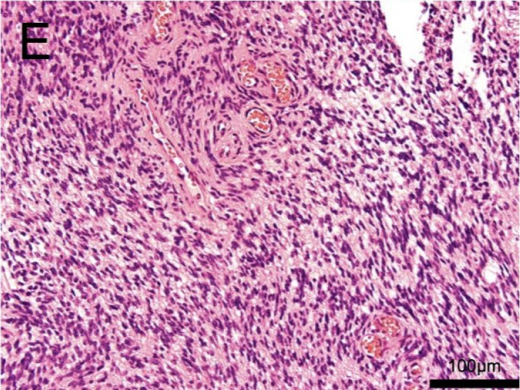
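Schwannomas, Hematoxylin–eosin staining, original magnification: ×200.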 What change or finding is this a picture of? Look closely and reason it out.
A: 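Densely packed spindle cells with elongated nuclei fill the field.
Increased cellularity.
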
